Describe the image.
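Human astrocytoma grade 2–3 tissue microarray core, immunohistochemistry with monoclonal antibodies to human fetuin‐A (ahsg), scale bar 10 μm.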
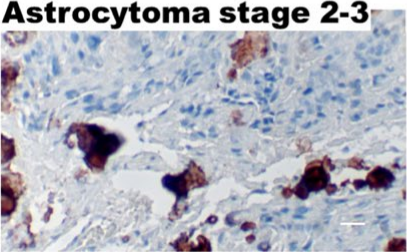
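This is a densely cellular glial tumour tissue with many small blue ovoid to elongated nuclei set in a pale, finely fibrillary background. Scattered among them are larger cells whose cytoplasm is filled with dense dark brown stain, some lying singly and some in small clusters. These brown cells are irregular in outline and several obscure their own nuclei. Clear, empty clefts and spaces run through the tissue, and some brown-stained cells sit at their edges. Most of the tumour cells between them carry only the blue nuclear counterstain.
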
